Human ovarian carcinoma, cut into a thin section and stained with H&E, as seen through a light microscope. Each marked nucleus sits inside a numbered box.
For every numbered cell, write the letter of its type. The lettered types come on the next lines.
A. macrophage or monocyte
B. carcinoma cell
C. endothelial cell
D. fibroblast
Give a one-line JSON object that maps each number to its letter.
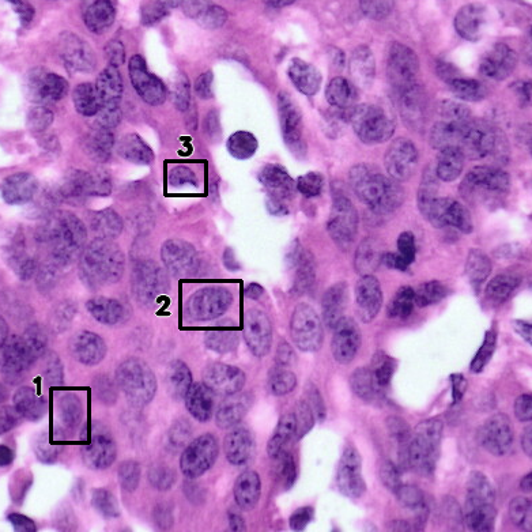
{"1": "B", "2": "B", "3": "A"}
